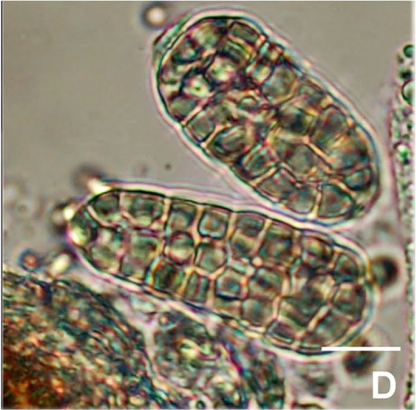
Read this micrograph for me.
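Inside, each spore is densely divided by many transverse and longitudinal walls into small roughly cubic compartments, giving a brick-like, muriform pattern. The compartments are pale yellowish-brown with slightly greenish contents. The upper spore is a little broader and shorter; the lower one is more elongate.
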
